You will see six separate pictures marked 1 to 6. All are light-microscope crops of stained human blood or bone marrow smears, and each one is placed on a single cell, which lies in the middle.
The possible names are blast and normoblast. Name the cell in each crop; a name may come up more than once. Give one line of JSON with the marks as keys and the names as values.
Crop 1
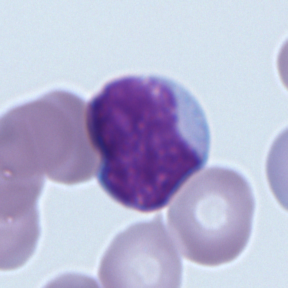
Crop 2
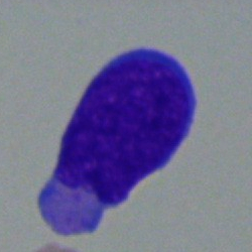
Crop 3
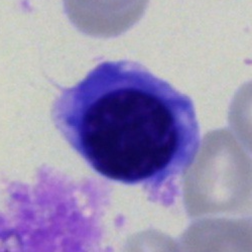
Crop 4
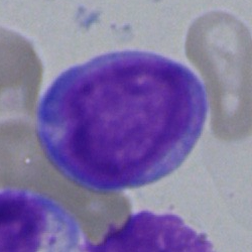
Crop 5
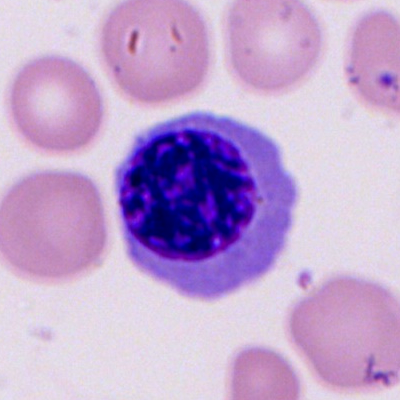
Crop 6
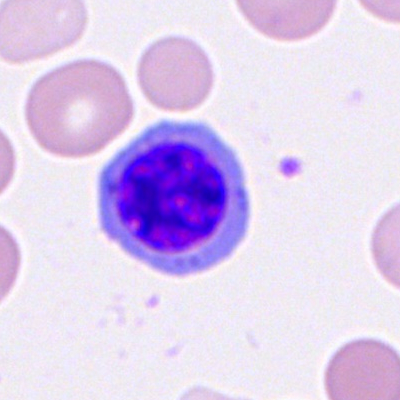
{"1": "blast", "2": "blast", "3": "normoblast", "4": "blast", "5": "normoblast", "6": "normoblast"}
